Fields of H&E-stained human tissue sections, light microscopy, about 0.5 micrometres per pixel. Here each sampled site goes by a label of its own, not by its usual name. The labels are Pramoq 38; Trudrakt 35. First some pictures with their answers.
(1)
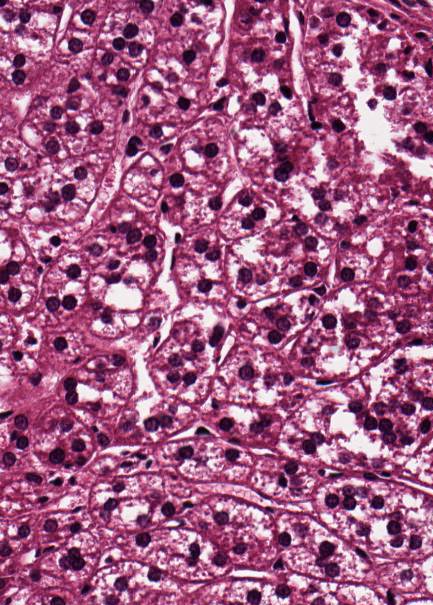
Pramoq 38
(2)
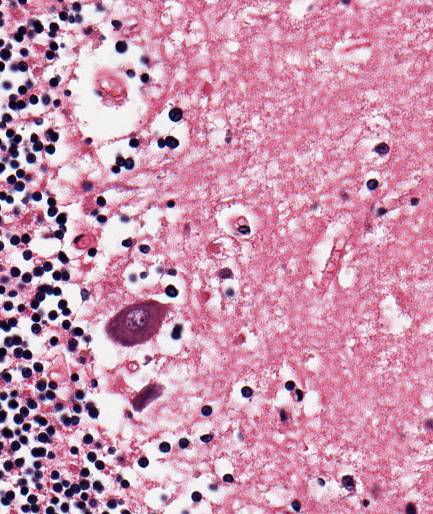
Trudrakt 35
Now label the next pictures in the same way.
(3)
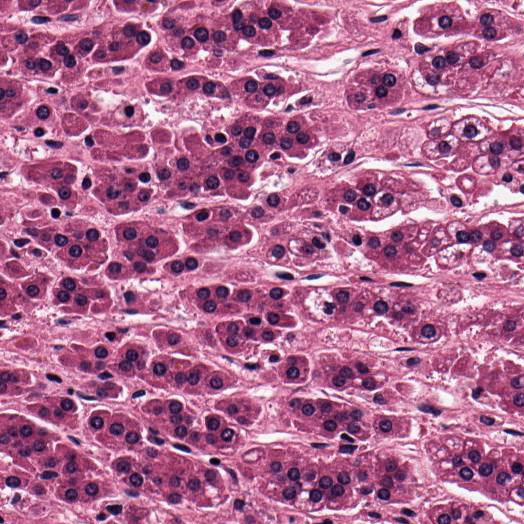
Pramoq 38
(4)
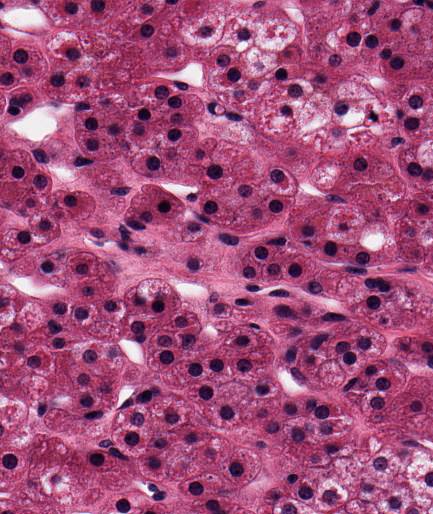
Pramoq 38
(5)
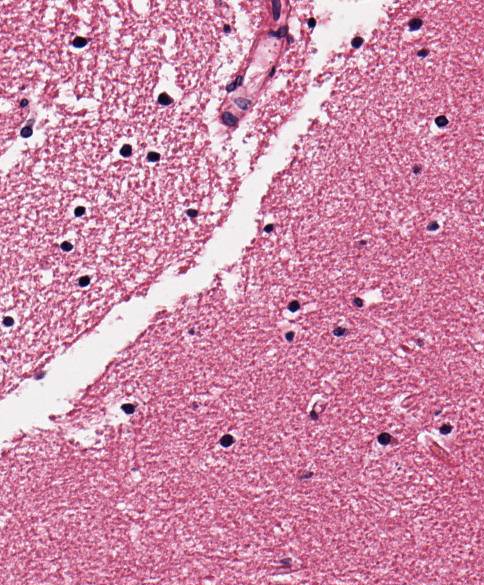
Trudrakt 35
